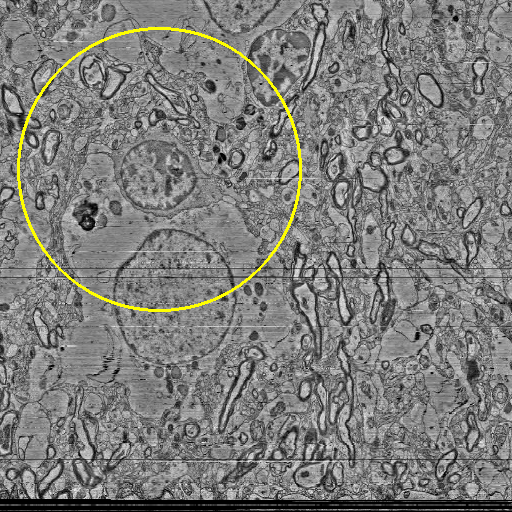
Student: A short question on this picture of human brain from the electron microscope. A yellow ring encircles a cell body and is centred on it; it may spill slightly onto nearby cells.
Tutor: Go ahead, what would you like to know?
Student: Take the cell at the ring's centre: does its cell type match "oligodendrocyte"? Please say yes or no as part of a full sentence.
Yes, in the picture, the cell at the ring's centre has that cell type.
